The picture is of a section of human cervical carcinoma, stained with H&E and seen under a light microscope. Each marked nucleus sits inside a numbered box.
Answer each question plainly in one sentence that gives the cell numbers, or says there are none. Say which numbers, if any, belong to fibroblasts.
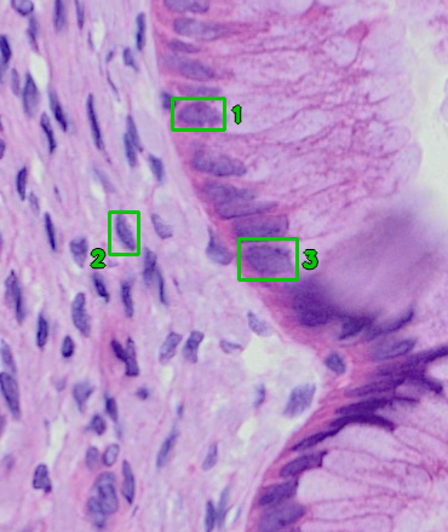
With the exception of cell 2, no marked cell is a fibroblast.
